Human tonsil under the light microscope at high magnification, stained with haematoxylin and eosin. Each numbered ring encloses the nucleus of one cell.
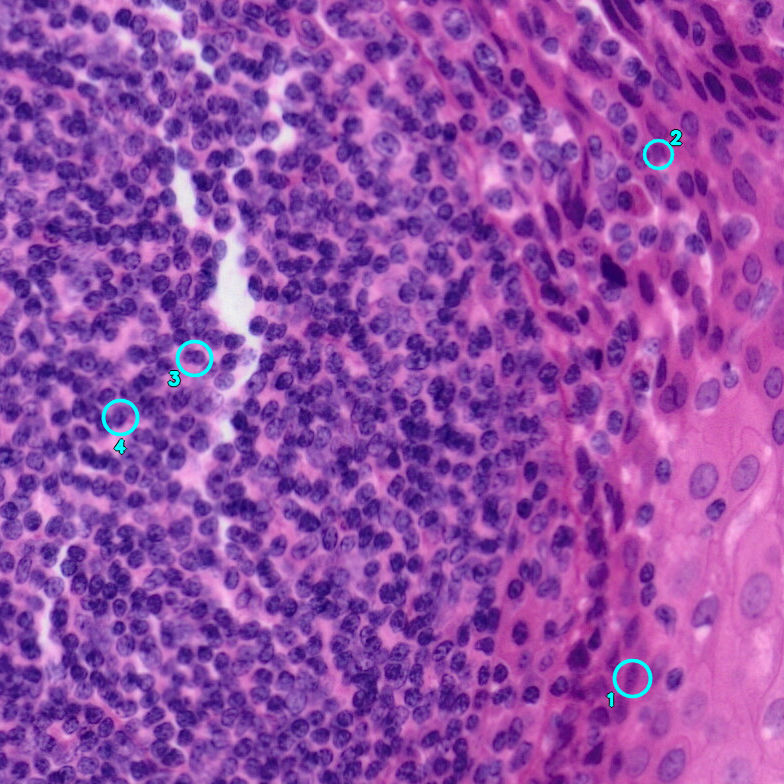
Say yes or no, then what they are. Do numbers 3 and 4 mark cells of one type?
Yes, both are small lymphocytes.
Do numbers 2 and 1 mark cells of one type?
Yes, both are squamous epithelial cells.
